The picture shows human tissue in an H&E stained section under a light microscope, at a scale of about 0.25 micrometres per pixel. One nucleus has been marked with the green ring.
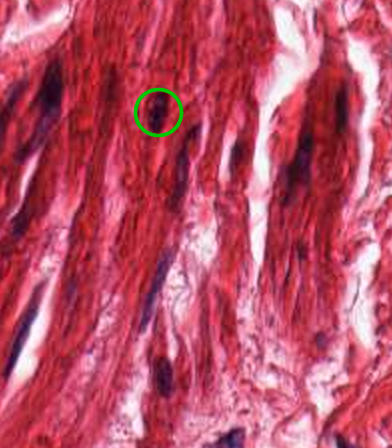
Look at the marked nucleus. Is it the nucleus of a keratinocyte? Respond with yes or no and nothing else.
no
